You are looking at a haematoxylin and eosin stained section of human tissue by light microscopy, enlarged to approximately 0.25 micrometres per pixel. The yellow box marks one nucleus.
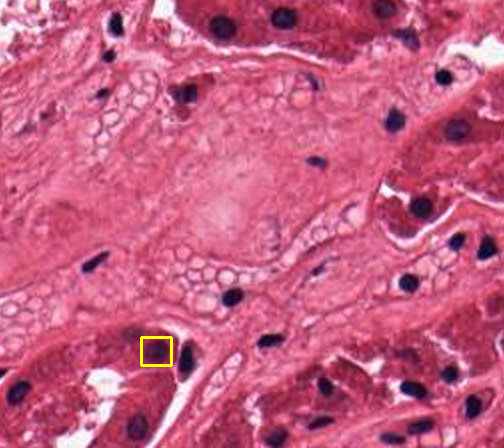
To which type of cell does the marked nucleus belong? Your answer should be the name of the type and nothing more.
proximal tubule cell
